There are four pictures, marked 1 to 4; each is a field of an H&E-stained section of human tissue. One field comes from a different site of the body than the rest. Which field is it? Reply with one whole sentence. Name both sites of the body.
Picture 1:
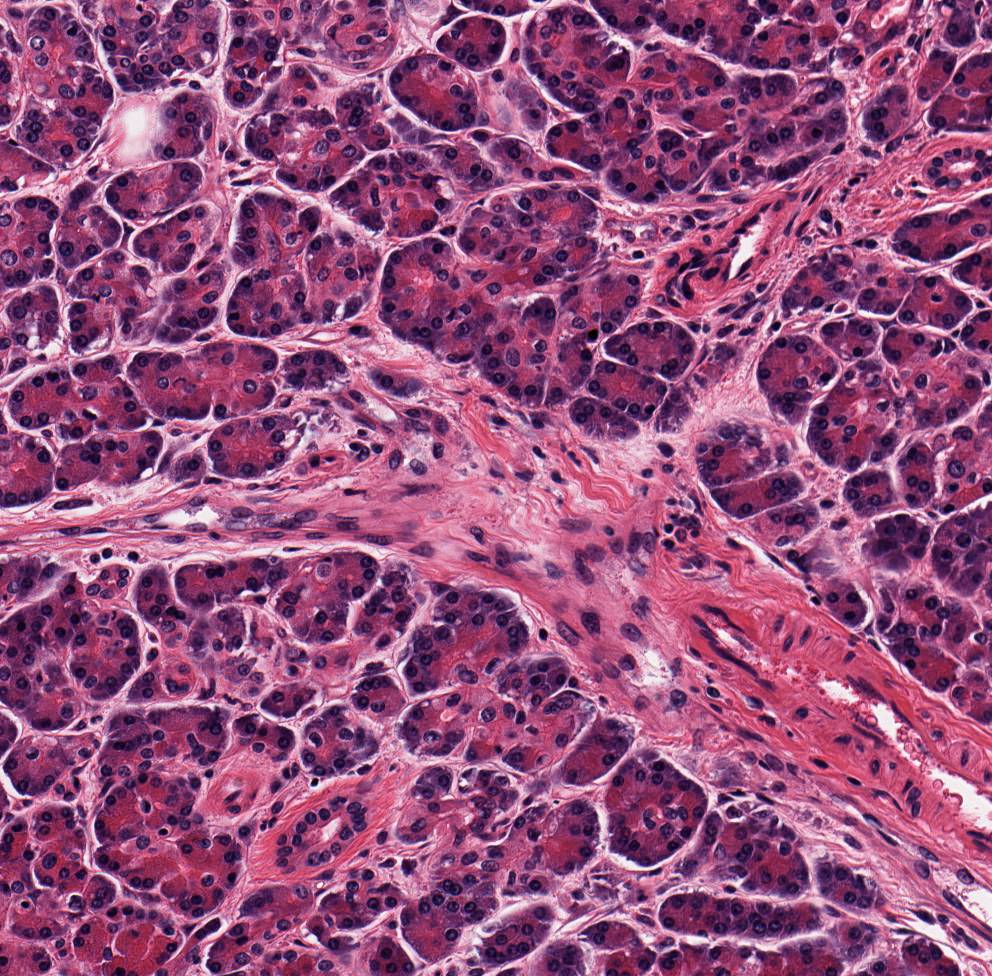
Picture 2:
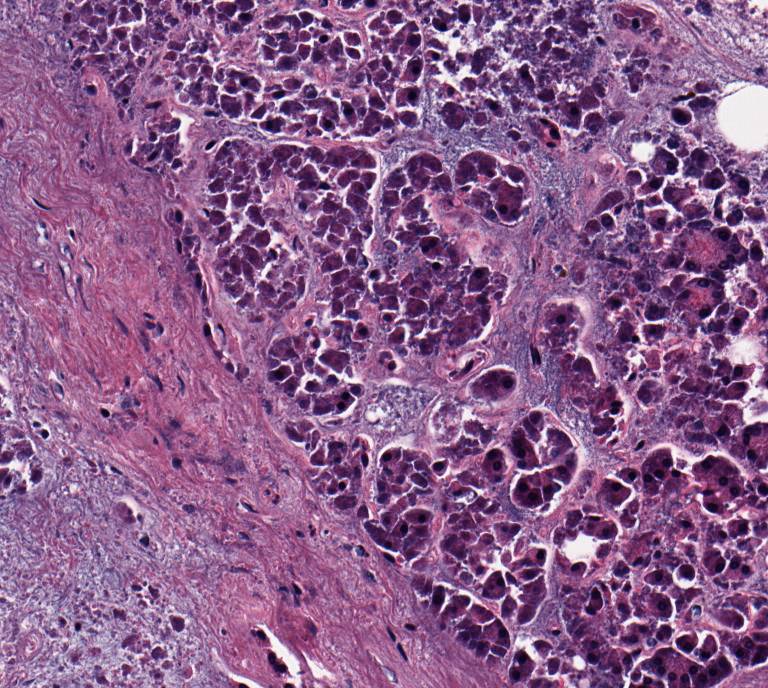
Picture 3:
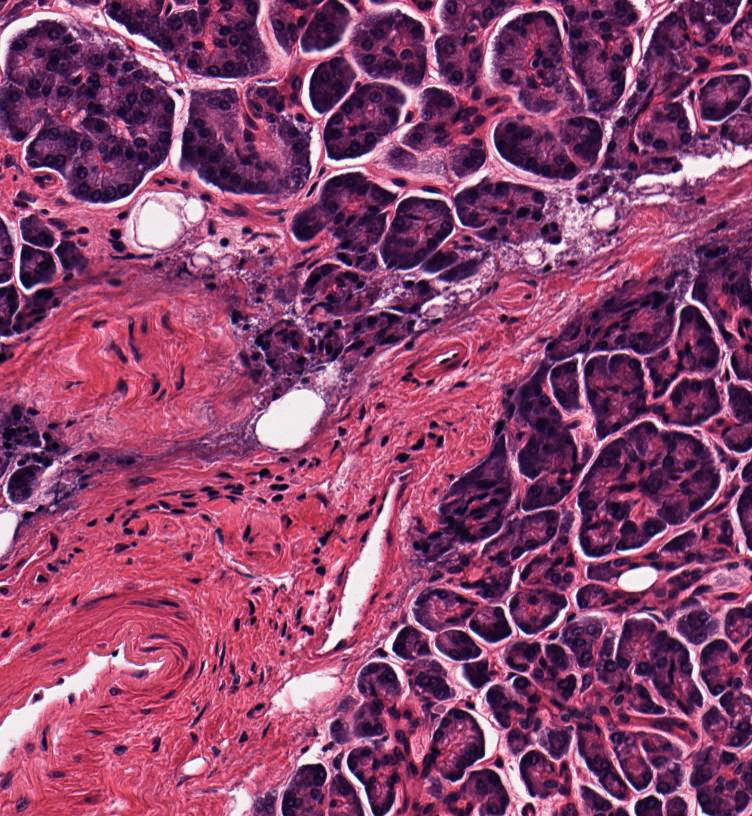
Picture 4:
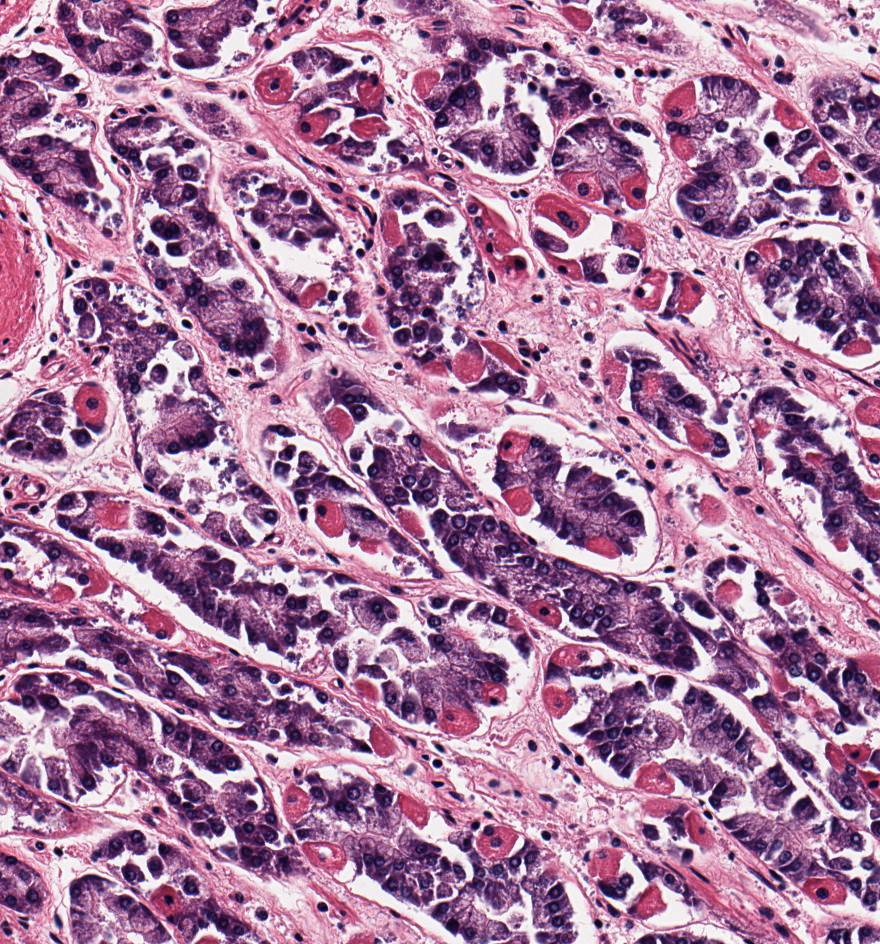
Picture 4 is the odd one out: it comes from the stomach, while the others come from the pancreas.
